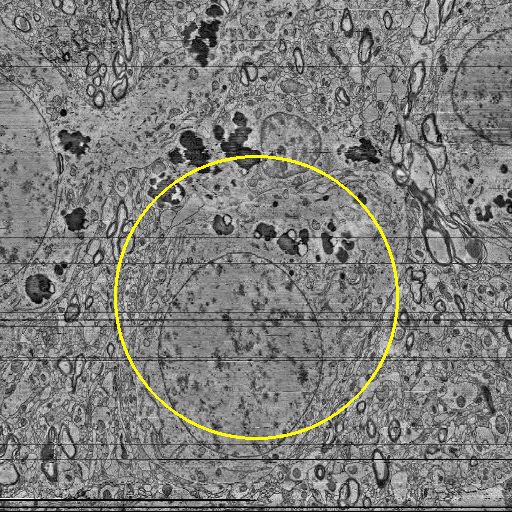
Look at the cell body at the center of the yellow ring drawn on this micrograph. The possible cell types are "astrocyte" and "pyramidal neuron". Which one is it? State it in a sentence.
The cell in the middle of the ring is a pyramidal neuron.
